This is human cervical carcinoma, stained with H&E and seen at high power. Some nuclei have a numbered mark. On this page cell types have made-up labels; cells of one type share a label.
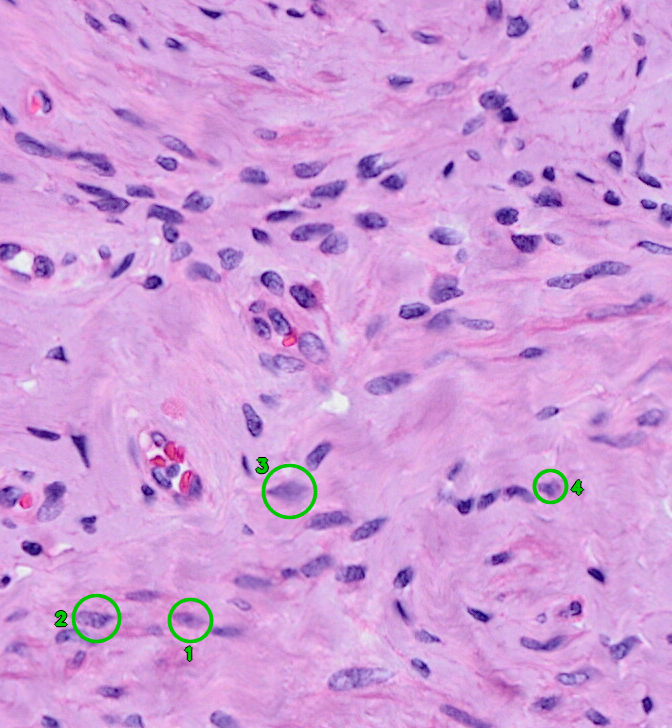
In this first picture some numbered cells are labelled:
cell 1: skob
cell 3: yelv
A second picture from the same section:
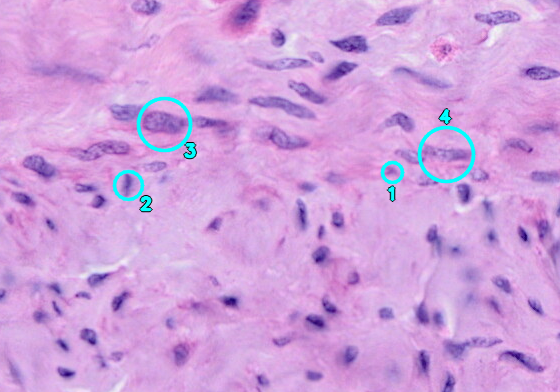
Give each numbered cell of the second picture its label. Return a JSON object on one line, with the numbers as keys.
{"1": "skob", "2": "yelv", "3": "skob", "4": "skob"}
